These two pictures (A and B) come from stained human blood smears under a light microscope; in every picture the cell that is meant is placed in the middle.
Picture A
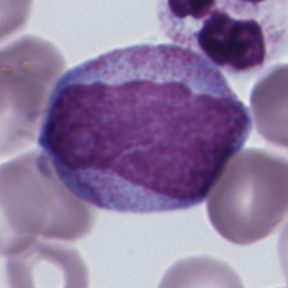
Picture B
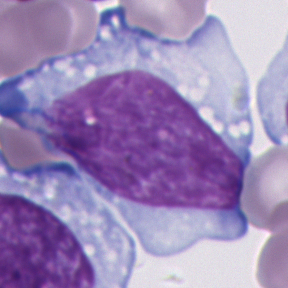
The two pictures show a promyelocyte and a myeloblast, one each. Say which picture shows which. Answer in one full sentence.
The cell in picture A is a promyelocyte, and the one in picture B is a myeloblast.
